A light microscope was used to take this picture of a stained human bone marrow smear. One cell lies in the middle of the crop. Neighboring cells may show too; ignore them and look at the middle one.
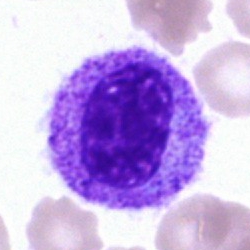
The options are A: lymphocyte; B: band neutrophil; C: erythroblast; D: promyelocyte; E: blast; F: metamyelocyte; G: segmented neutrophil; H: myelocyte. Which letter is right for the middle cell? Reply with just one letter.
H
